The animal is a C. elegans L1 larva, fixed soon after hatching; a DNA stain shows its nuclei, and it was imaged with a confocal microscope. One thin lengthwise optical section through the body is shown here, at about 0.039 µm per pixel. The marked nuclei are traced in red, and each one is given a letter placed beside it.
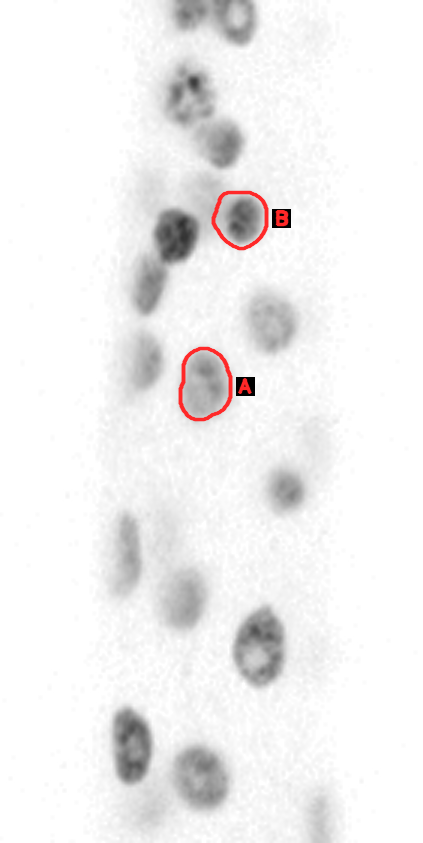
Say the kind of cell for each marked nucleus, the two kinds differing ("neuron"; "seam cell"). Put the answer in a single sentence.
A is from a seam cell, and B is from a neuron.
